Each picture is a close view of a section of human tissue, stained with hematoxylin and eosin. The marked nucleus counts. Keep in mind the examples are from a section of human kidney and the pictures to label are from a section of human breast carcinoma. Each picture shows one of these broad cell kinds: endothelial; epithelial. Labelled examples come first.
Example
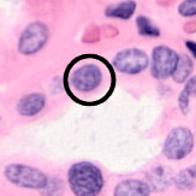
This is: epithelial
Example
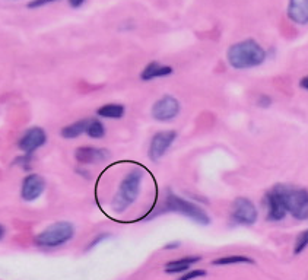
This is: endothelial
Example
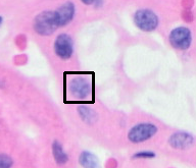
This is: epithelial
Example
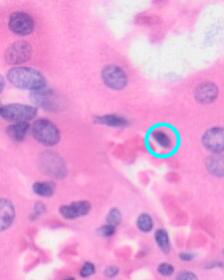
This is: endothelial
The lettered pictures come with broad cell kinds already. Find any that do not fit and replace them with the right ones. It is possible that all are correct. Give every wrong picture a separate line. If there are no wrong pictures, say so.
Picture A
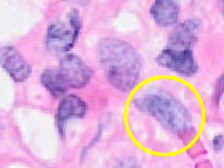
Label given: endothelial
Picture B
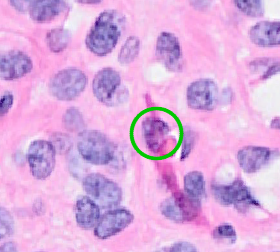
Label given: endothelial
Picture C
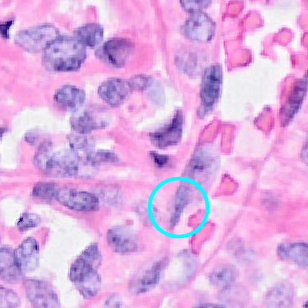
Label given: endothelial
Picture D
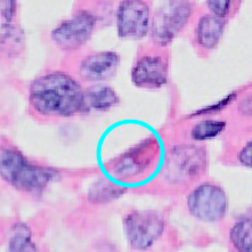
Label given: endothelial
Every label is right.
